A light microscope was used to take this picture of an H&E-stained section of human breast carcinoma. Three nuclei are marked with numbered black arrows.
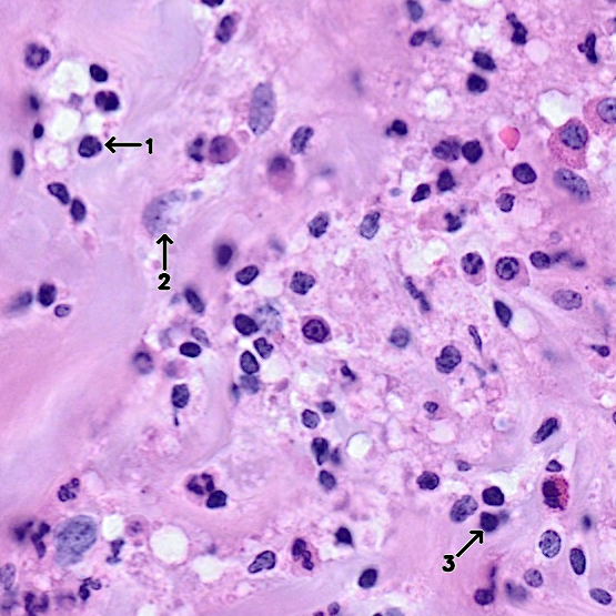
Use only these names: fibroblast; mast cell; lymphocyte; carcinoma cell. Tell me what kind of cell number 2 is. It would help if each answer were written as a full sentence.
The cell pointed out as number 2 is a fibroblast.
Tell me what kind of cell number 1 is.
The cell identified by the number 1 is a lymphocyte.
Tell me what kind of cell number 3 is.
Number 3 is placed on a lymphocyte here.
